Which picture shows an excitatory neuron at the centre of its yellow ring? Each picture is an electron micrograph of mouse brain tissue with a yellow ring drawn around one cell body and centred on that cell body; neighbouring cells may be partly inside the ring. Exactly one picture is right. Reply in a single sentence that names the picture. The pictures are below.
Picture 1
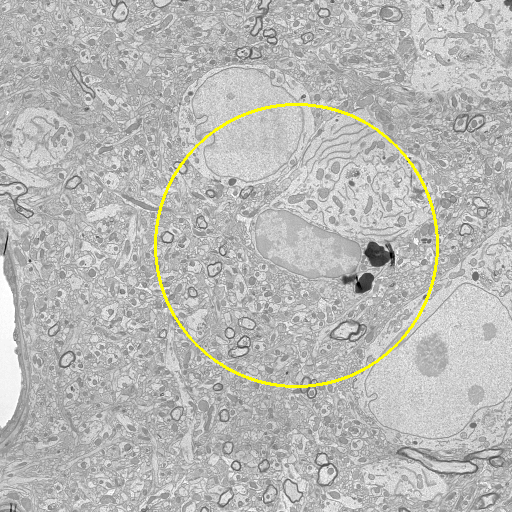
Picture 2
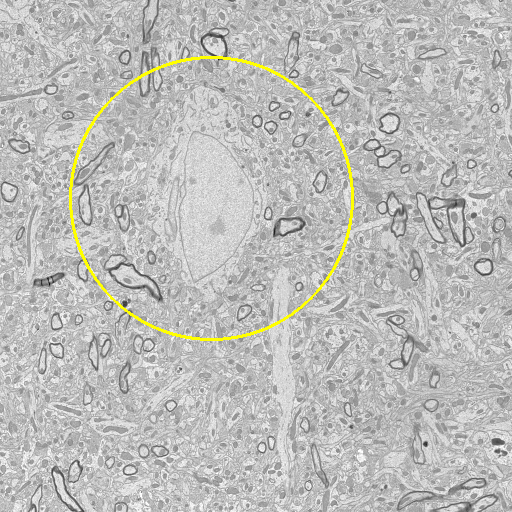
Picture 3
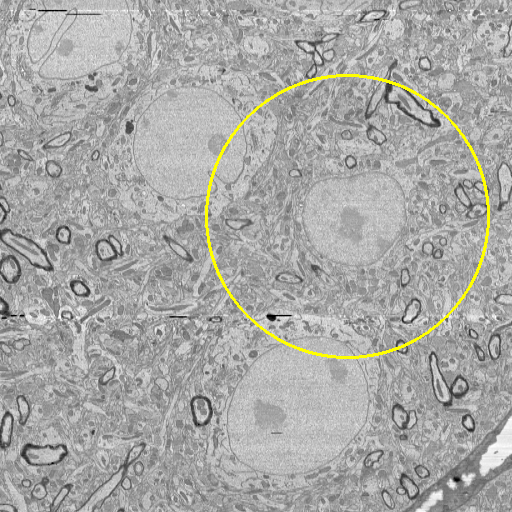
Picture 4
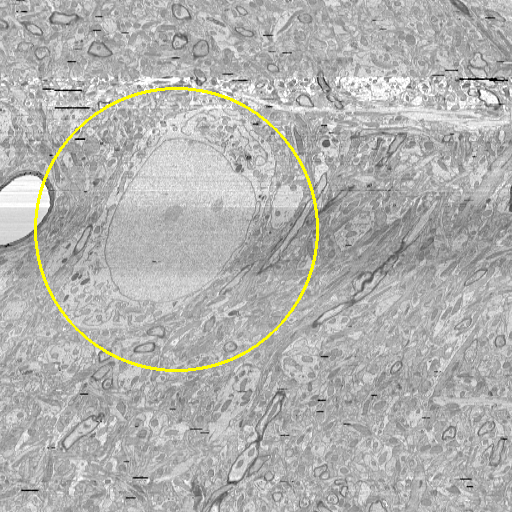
Picture 2 shows it.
